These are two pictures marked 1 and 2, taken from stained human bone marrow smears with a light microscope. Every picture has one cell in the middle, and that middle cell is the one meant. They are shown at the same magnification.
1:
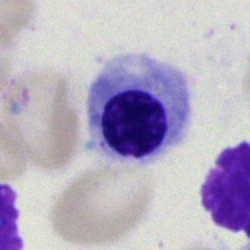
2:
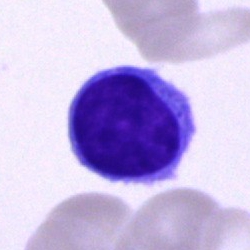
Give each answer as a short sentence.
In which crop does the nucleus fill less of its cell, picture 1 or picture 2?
It is the cell in picture 1 that is filled less by its nucleus.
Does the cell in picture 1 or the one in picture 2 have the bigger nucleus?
The nucleus in picture 2 is larger, with about 2.5 times the area of the one in picture 1.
